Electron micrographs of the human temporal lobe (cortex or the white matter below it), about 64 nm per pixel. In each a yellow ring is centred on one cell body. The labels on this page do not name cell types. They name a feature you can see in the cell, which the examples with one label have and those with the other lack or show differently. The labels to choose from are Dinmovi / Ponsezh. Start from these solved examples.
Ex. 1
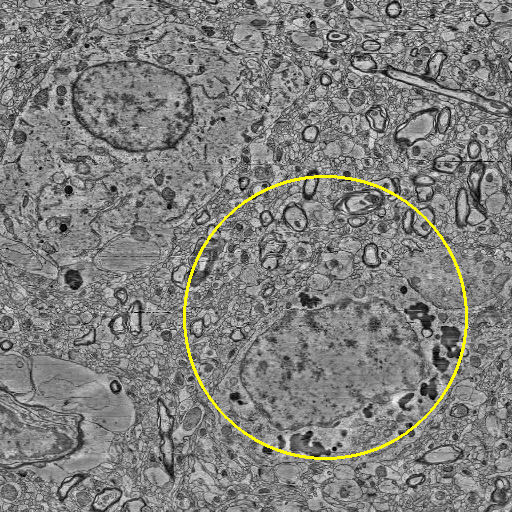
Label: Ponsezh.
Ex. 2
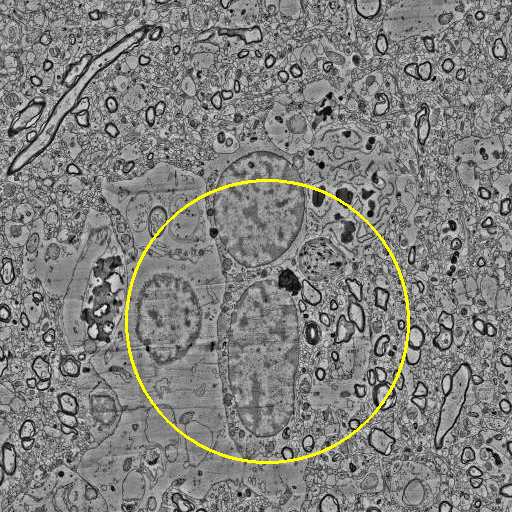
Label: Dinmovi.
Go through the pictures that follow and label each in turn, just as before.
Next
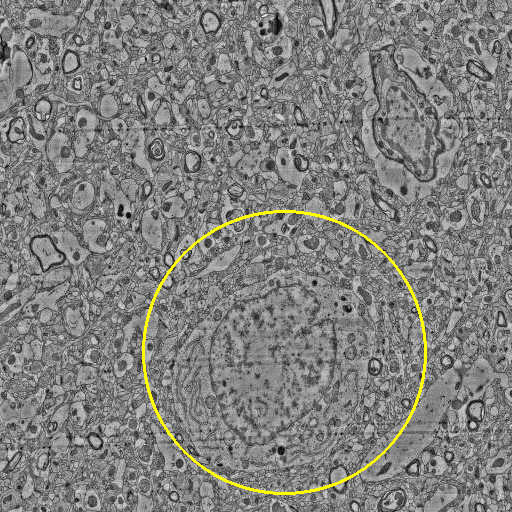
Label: Ponsezh.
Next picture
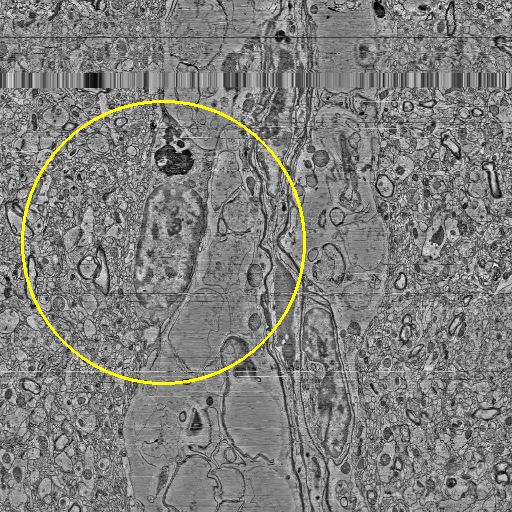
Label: Dinmovi.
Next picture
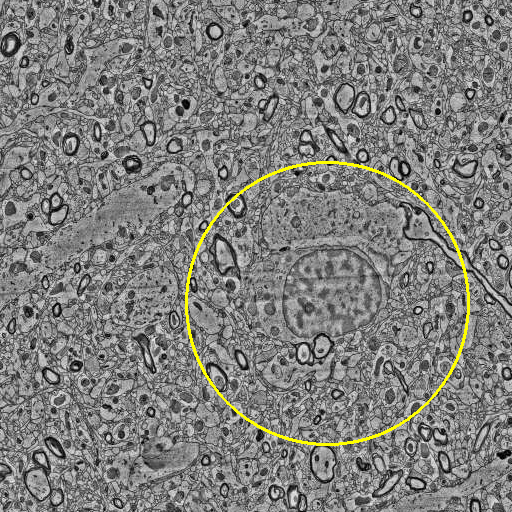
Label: Ponsezh.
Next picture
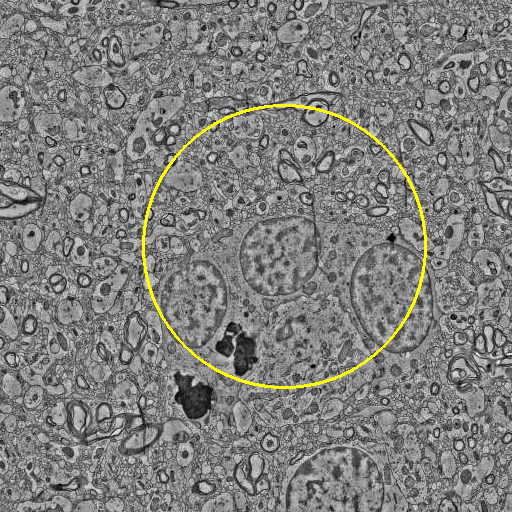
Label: Ponsezh.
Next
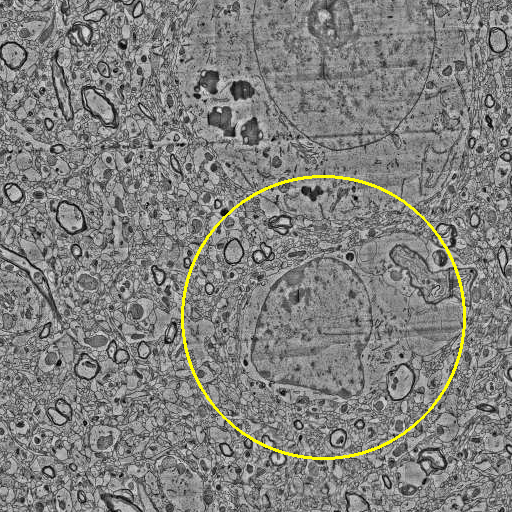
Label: Ponsezh.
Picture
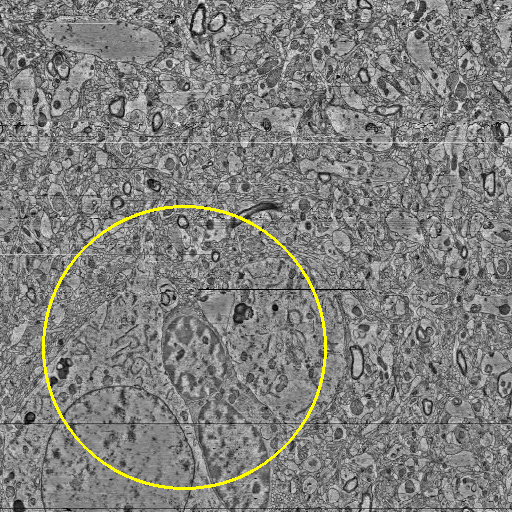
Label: Dinmovi.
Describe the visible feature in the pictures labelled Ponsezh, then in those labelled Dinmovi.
In Ponsezh: round or nearly round nuclei. In Dinmovi: clearly elongated nuclei.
